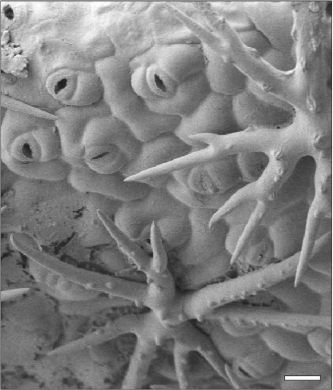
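This scanning electron micrograph of a leaf surface shows branched, star-shaped trichomes whose tapering rays carry scattered small knobs. The underlying epidermis consists of rounded, domed cells, among which several raised oval pores with surrounding paired cells are visible. Some irregular debris lies at the edges of the field.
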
